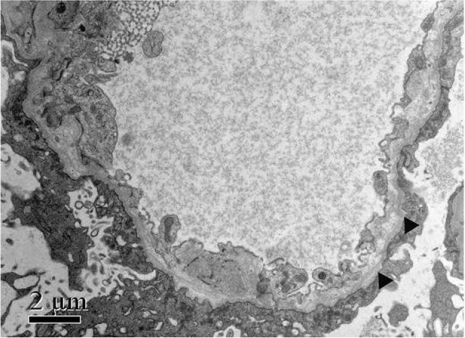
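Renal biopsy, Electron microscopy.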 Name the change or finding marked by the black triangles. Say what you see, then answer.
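Diffuse foot process effacement. Along the outer side of the capillary wall, the epithelial cytoplasm lies as a continuous flat sheet. Separate, regularly spaced foot processes cannot be made out where the triangles point.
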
